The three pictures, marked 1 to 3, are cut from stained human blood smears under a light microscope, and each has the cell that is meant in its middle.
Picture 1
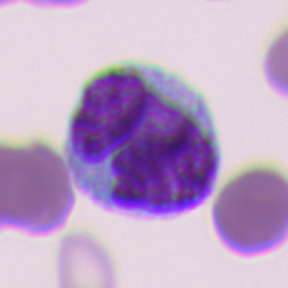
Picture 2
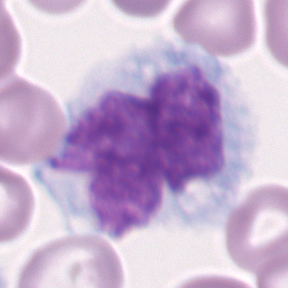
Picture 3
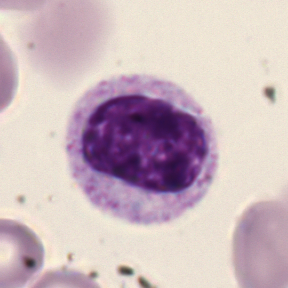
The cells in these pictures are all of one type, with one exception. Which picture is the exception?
3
